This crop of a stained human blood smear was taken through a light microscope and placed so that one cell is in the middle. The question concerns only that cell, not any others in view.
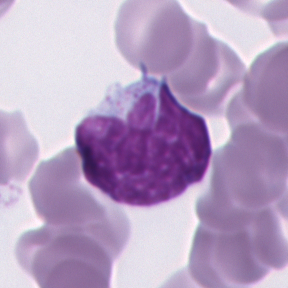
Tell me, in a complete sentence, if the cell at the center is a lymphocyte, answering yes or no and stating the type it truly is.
Yes, a lymphocyte occupies the middle of the crop.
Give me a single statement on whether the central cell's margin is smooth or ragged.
Around its circumference, the cell has an uneven edge, ragged or projecting in places.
